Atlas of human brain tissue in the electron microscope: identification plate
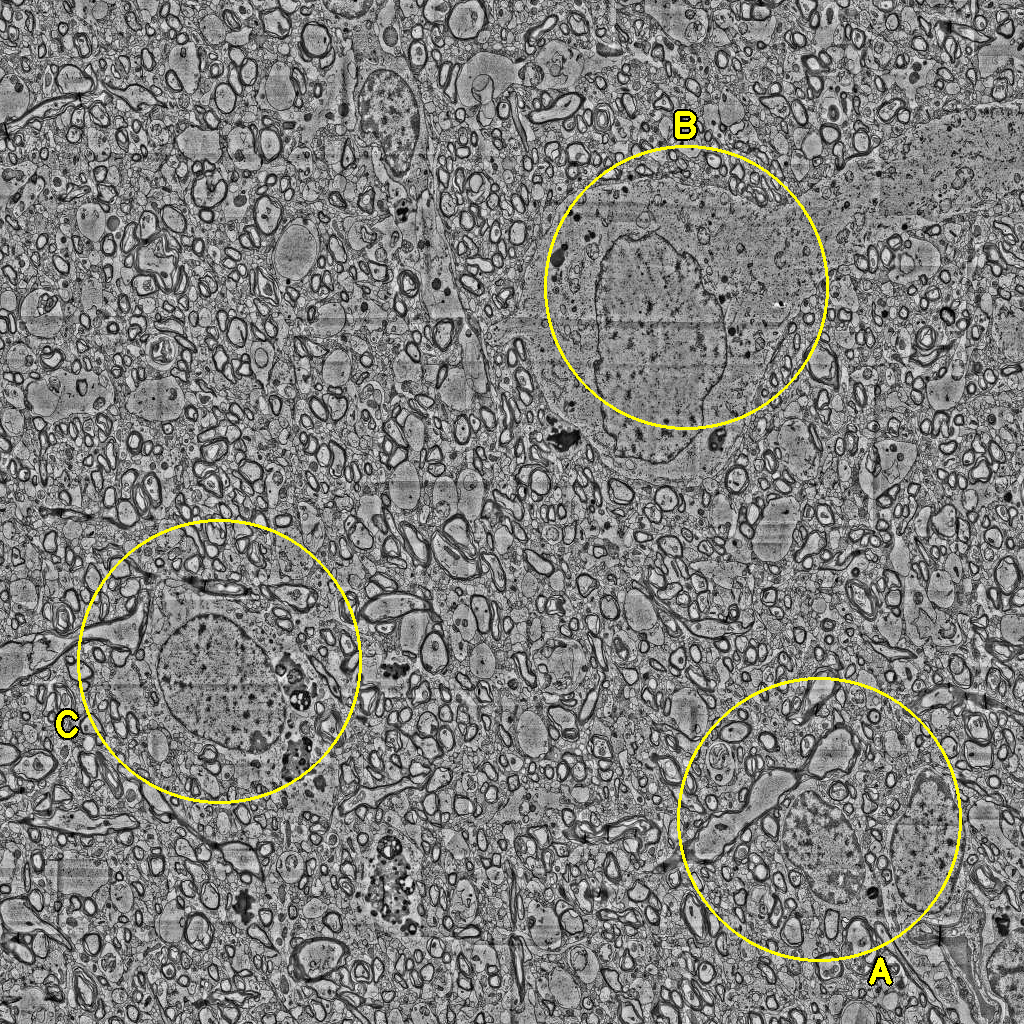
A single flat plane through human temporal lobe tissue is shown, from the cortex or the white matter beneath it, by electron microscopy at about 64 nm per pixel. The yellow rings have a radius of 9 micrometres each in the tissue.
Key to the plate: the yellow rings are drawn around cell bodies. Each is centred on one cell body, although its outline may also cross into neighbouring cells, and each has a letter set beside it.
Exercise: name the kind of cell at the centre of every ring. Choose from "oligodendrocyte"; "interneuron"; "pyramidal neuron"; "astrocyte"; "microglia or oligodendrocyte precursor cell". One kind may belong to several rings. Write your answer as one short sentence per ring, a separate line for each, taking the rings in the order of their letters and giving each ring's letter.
The centre of ring A is occupied by an oligodendrocyte.
The centre of ring B is occupied by a pyramidal neuron.
The centre of ring C is occupied by an astrocyte.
